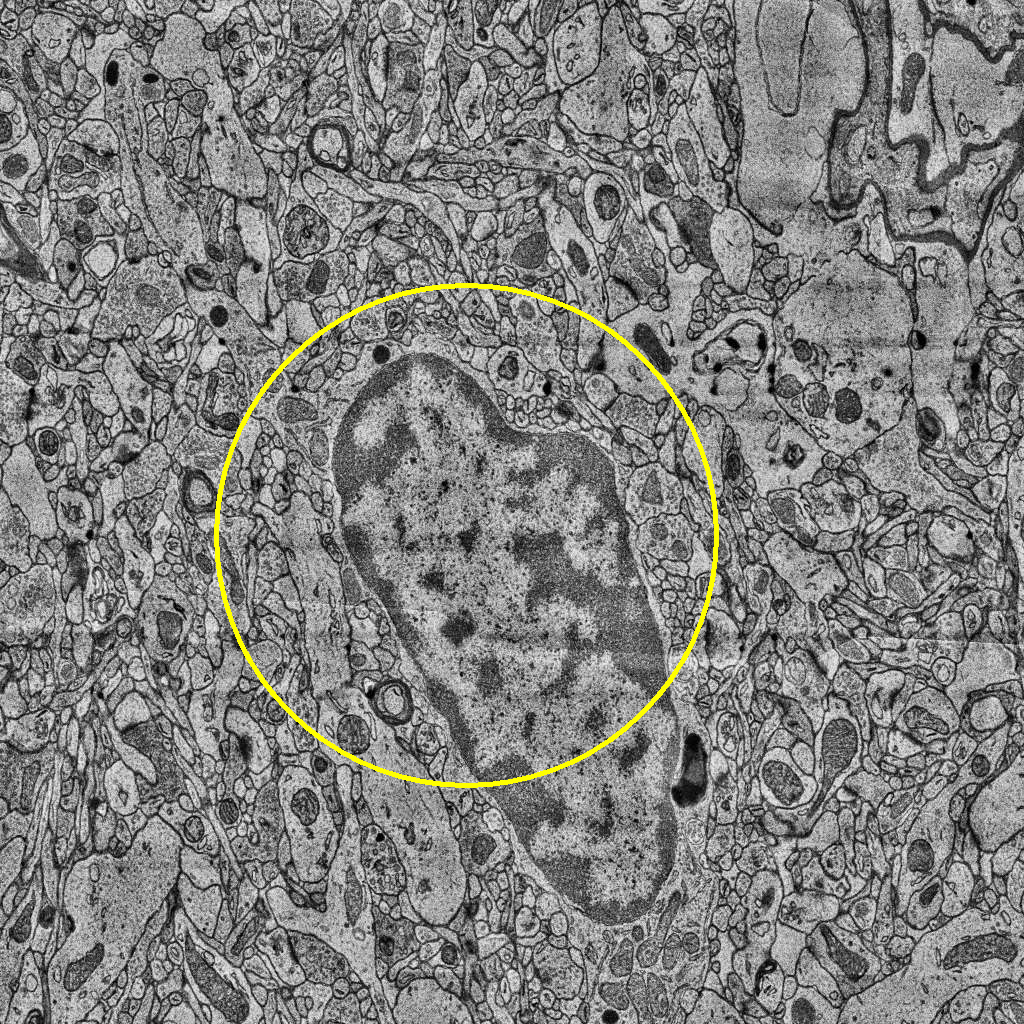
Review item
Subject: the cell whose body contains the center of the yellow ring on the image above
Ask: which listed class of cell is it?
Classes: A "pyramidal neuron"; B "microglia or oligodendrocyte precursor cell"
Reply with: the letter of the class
B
